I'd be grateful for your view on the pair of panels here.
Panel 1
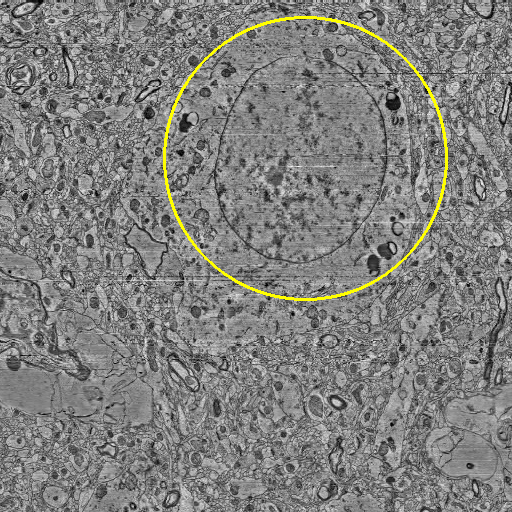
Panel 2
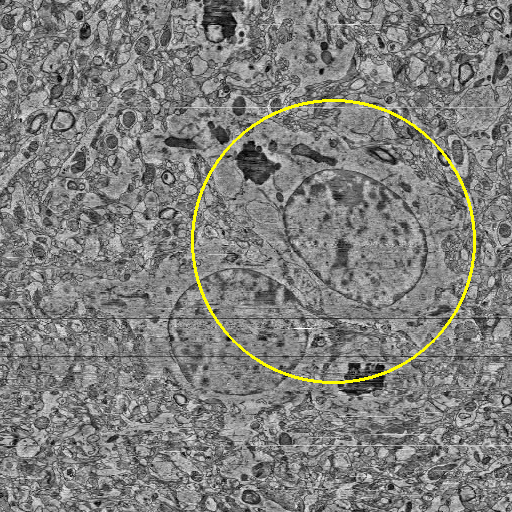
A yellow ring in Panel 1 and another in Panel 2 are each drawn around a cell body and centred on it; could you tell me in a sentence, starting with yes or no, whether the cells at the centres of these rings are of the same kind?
No, they are two kinds of cell.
